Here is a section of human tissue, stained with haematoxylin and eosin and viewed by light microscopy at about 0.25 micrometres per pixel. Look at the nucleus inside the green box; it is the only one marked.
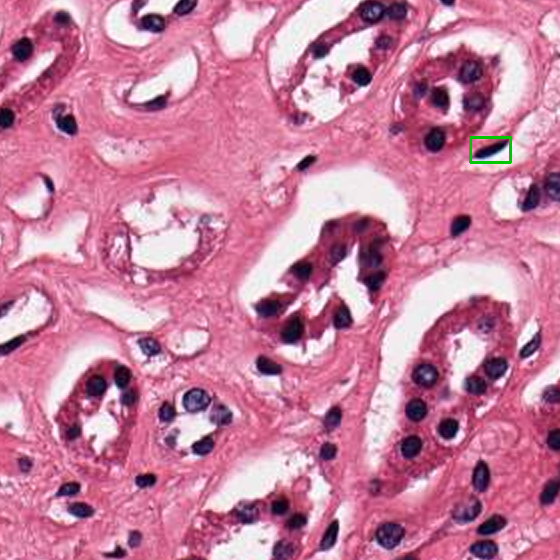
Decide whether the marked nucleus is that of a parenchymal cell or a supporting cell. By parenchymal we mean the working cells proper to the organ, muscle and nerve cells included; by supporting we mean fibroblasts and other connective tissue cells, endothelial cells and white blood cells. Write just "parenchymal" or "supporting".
supporting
